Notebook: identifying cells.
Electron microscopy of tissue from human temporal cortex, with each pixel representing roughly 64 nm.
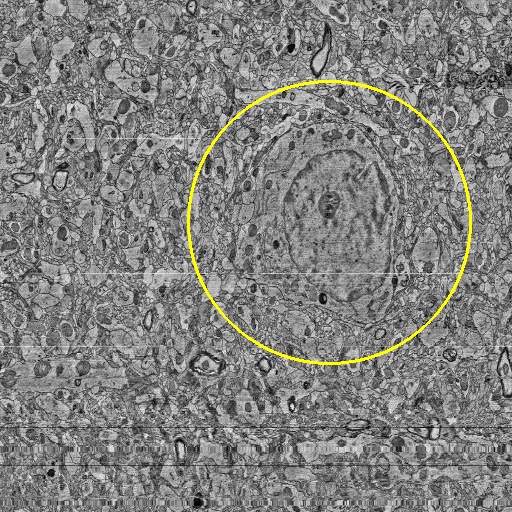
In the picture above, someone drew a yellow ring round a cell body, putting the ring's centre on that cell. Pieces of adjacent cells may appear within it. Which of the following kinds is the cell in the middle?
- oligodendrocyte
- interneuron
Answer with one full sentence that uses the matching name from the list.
In this picture, the yellow ring is centred on the body of an interneuron.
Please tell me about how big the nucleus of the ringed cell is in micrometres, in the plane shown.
The nucleus of the ringed cell is approximately 10 by 7 micrometres in this plane.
